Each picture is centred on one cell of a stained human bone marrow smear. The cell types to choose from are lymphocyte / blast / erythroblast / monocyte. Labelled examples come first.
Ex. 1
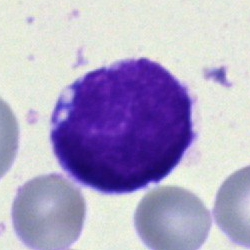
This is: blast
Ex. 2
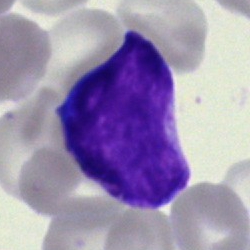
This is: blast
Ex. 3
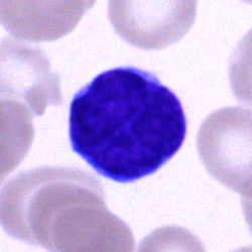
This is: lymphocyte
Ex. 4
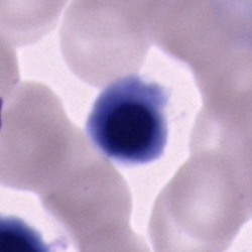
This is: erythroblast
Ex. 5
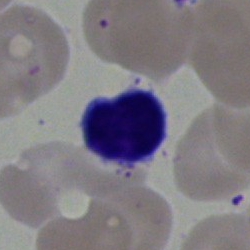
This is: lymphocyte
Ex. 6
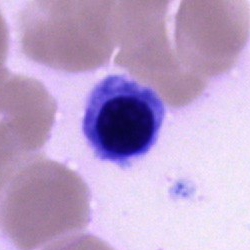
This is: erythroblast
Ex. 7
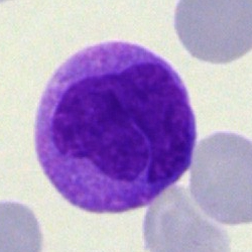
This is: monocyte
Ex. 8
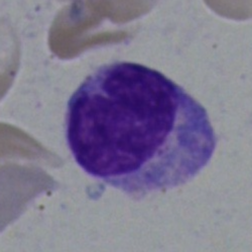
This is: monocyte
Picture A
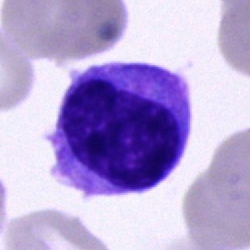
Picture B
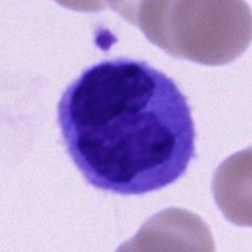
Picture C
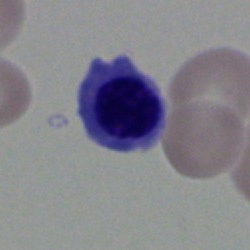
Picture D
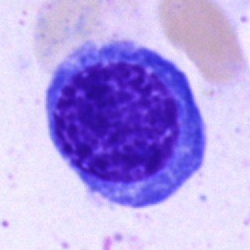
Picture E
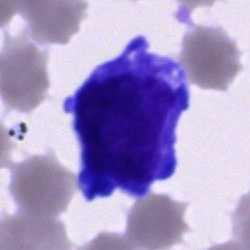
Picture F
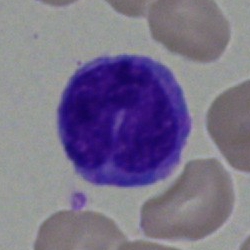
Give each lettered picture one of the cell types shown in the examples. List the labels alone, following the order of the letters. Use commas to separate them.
monocyte, monocyte, erythroblast, erythroblast, blast, monocyte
